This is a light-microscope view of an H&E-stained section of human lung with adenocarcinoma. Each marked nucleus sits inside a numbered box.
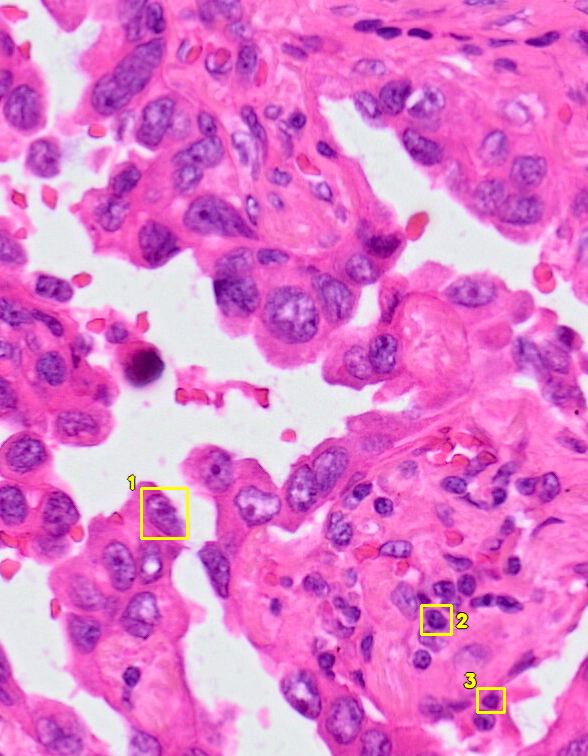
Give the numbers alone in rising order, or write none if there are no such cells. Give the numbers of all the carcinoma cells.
1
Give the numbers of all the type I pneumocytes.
none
